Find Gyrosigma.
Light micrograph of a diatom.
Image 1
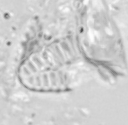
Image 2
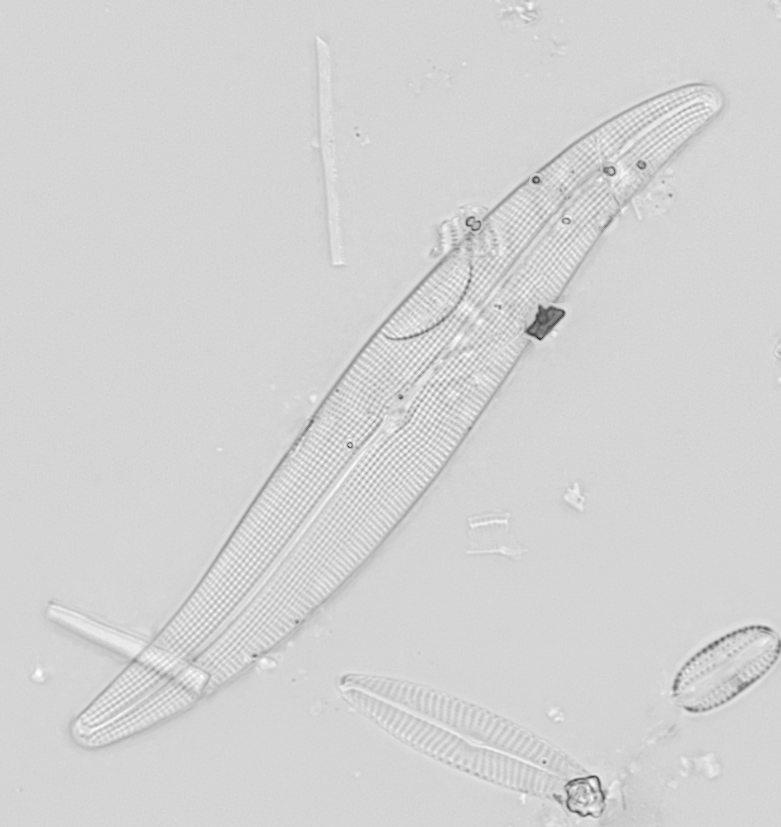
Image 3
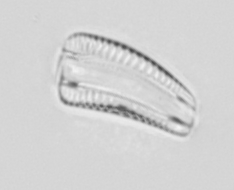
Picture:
2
